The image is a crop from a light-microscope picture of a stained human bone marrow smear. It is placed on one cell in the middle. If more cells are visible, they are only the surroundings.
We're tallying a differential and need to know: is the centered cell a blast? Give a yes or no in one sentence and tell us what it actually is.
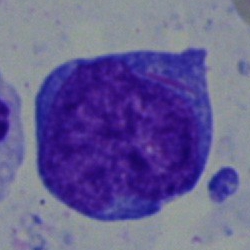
Yes, the cell right in the middle is a blast.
